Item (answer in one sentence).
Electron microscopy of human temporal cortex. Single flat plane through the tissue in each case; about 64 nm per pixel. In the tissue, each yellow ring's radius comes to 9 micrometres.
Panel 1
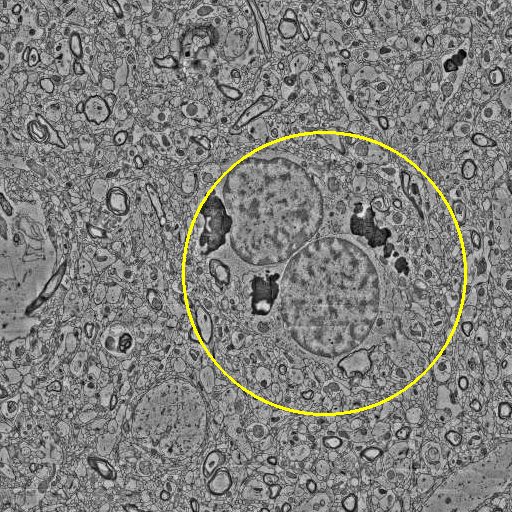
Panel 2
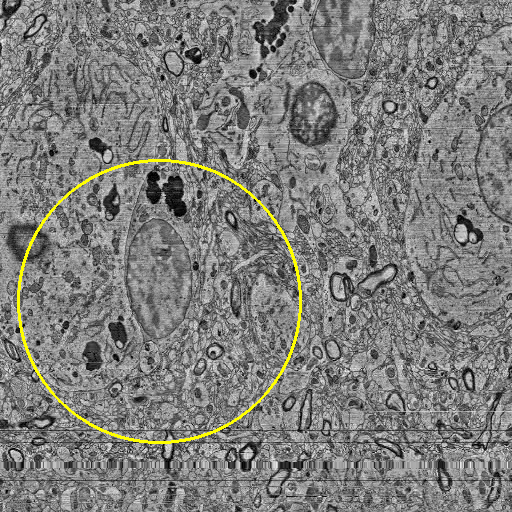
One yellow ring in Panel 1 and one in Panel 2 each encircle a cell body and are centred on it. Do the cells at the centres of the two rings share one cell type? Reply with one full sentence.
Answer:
Yes, Panel 1 and Panel 2 show cells of one type at the centres of their rings.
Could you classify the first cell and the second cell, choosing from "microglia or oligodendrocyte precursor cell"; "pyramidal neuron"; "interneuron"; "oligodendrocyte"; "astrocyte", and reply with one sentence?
The cell in the first picture is an oligodendrocyte, and so is the one in the second.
